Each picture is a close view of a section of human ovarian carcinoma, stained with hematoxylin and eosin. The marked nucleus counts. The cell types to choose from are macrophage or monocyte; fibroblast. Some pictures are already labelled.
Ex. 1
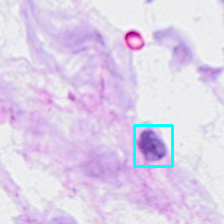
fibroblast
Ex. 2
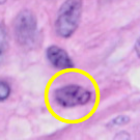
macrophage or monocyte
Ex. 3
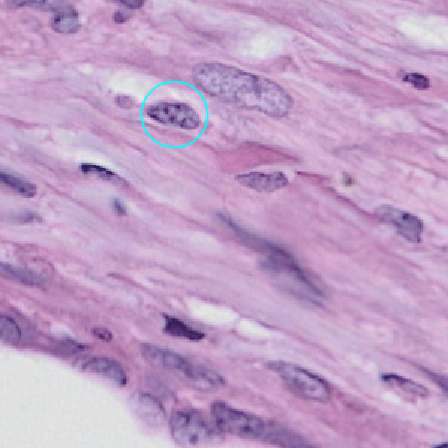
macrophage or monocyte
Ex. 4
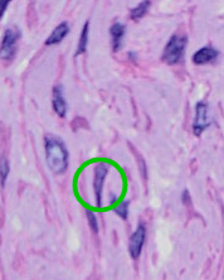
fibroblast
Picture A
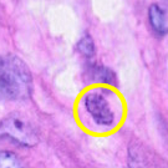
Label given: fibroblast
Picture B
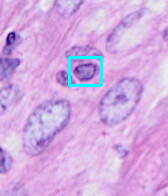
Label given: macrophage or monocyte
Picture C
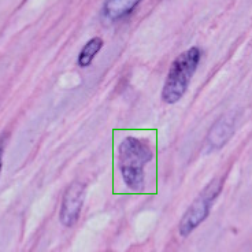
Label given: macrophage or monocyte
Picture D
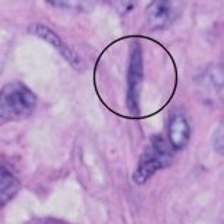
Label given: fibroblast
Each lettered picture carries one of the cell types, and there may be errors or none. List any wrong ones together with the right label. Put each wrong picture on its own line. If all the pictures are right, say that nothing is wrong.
A: change fibroblast to macrophage or monocyte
